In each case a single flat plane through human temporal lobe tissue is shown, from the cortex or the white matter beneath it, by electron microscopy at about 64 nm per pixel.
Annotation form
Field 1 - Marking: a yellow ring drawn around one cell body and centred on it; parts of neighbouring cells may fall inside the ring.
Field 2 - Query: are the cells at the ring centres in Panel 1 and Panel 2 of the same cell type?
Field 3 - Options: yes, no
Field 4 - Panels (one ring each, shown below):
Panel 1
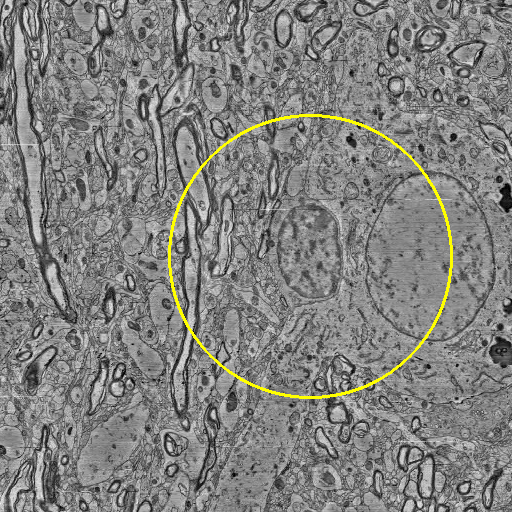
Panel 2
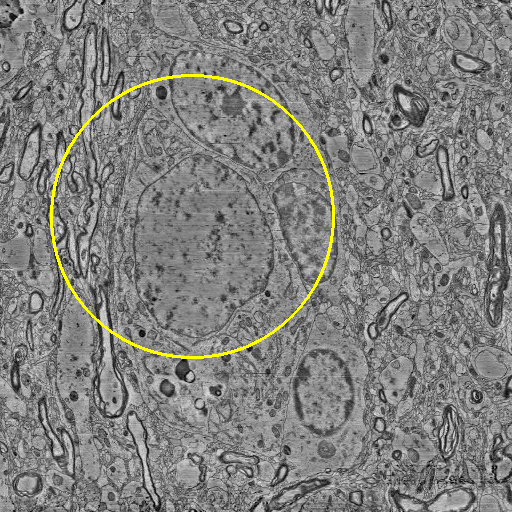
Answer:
no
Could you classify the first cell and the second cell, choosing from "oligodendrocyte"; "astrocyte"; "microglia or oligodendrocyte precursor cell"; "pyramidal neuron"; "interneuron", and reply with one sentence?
The second cell is an interneuron, while the first is an oligodendrocyte.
